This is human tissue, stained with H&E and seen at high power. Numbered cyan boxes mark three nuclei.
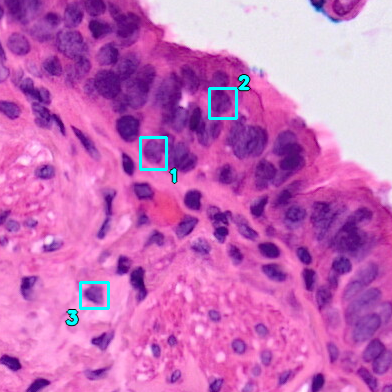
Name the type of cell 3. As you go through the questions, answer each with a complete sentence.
The expected answer is that cell 3 is a lymphocyte.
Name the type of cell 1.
Of the numbered cells, the one labelled 1 is a ciliated epithelial cell.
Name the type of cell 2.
In the tissue shown, cell 2 is a ciliated epithelial cell.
